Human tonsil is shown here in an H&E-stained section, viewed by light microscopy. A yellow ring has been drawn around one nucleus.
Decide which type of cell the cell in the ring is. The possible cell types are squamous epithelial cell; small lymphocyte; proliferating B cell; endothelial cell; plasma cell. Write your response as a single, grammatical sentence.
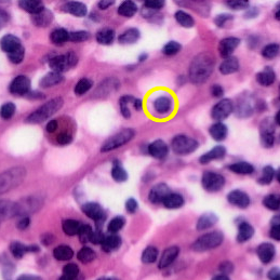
Recorded by type, the cell in the ring is an endothelial cell.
